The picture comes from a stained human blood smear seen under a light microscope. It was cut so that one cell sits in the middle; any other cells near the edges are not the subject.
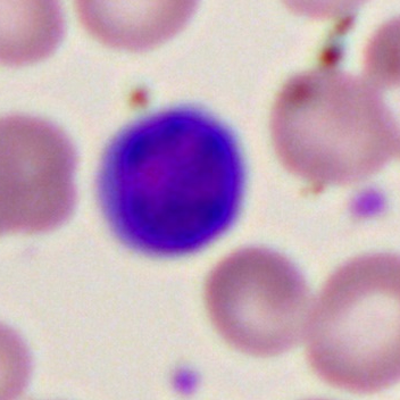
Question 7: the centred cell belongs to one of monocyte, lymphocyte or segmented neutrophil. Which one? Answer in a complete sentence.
In short, the cell at the center is a lymphocyte.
